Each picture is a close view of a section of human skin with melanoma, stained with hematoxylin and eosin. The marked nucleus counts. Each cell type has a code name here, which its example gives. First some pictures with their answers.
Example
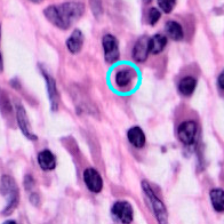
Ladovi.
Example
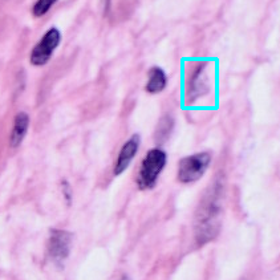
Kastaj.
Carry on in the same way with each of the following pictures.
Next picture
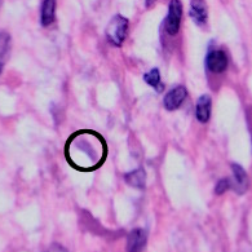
Kastaj.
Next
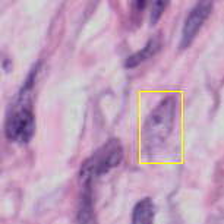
Kastaj.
